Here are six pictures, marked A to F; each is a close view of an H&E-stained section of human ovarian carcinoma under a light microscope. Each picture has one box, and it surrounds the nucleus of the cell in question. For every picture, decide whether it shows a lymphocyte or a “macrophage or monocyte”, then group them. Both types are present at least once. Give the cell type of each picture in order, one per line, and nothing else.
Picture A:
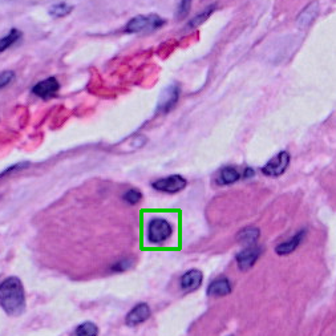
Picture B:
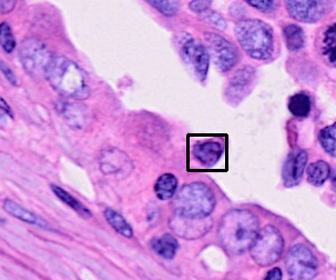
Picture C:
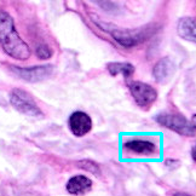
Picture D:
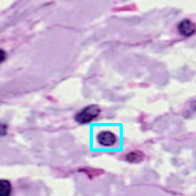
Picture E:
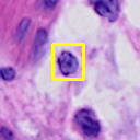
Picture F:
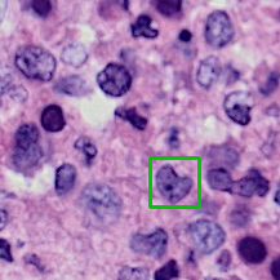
lymphocyte
macrophage or monocyte
lymphocyte
lymphocyte
lymphocyte
macrophage or monocyte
